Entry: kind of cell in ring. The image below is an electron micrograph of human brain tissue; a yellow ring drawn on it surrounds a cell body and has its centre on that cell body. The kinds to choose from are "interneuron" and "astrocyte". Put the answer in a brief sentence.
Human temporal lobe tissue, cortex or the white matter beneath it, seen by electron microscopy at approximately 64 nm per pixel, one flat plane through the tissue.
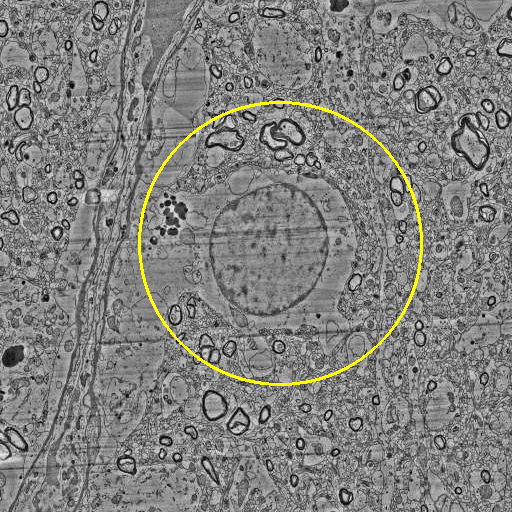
The ring has been drawn around an astrocyte.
